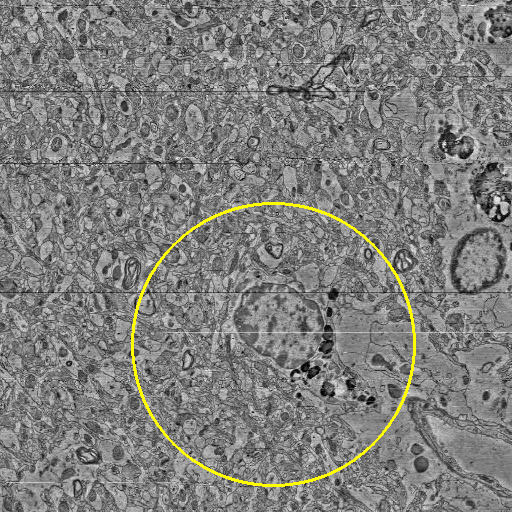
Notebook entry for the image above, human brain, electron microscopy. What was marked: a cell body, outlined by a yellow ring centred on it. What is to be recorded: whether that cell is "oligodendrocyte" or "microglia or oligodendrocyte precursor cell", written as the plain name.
microglia or oligodendrocyte precursor cell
